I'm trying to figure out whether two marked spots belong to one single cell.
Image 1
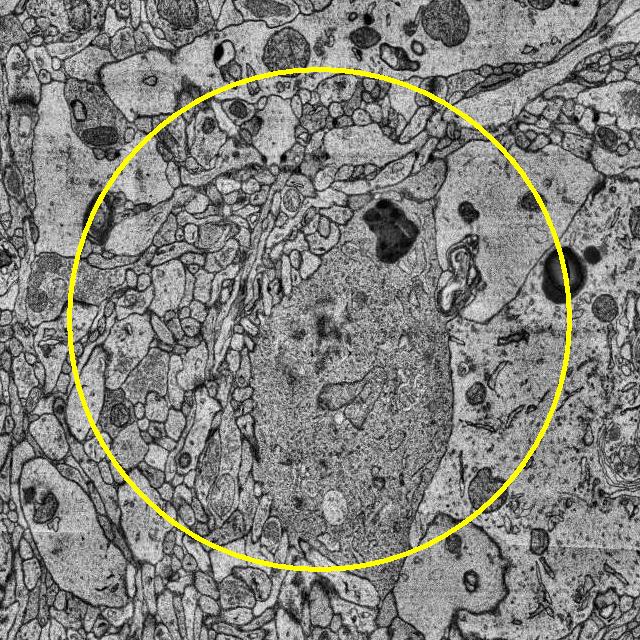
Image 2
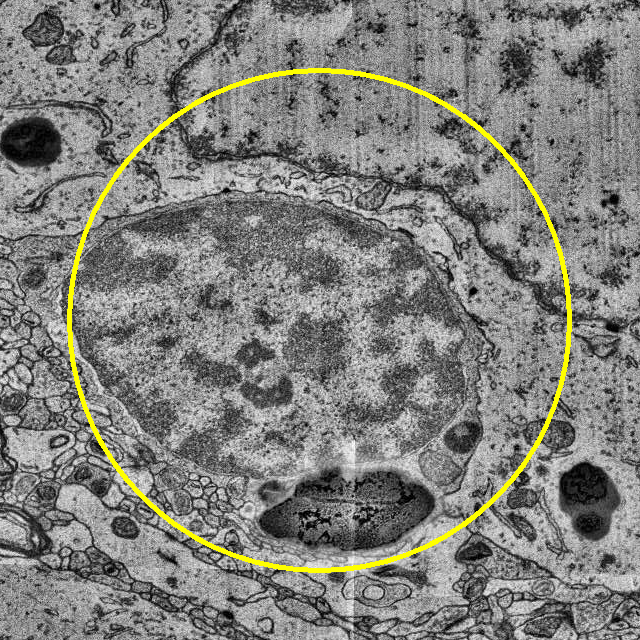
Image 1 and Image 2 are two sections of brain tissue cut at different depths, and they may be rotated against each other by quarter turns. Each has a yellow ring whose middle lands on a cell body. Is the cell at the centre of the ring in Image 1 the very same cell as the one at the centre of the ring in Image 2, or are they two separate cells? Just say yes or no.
yes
